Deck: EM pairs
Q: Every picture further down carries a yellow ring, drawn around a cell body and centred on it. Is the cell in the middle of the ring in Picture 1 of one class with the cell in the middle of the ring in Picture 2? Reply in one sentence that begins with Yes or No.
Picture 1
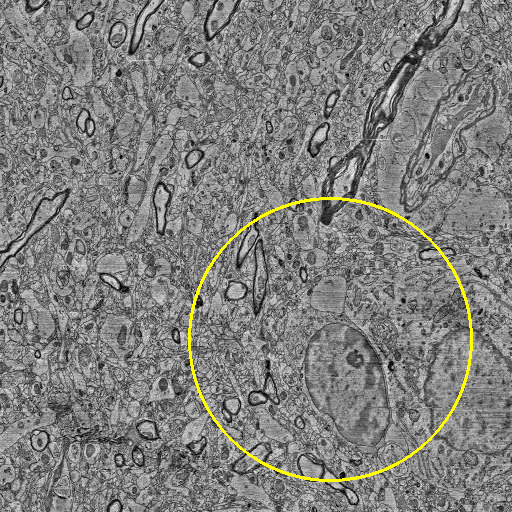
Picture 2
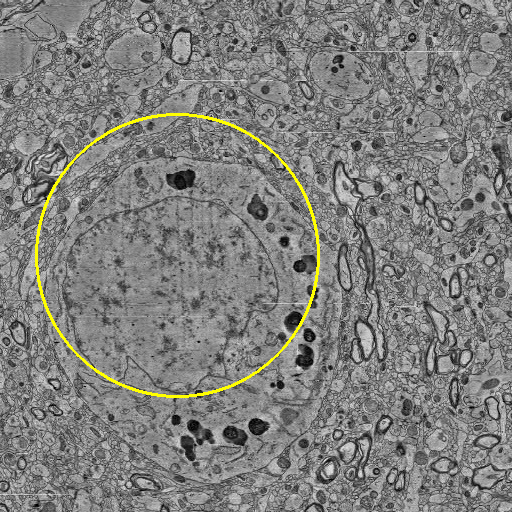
No, the cell centred in the ring of Picture 1 and the one in Picture 2 belong to separate classes.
